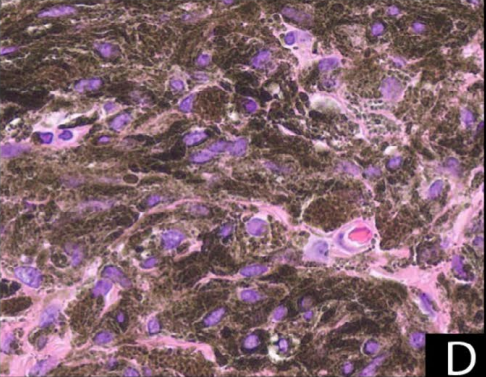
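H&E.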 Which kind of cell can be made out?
Ovoid cells with pigmented cytoplasm.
